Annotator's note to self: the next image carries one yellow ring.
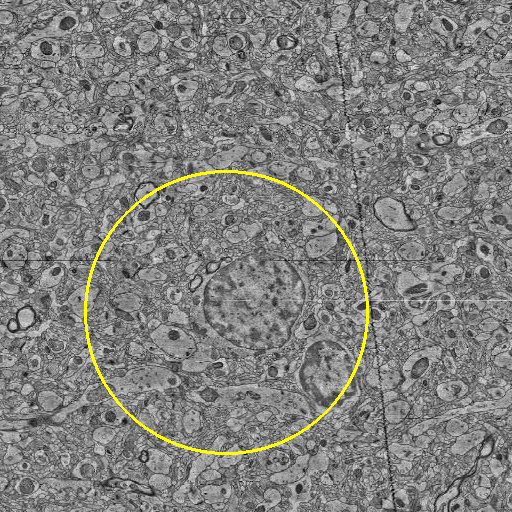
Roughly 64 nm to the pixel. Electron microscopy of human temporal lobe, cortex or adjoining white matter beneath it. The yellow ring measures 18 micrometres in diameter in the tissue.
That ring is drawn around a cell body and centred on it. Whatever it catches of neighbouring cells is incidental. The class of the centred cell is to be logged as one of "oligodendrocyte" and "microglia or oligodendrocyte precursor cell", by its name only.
oligodendrocyte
